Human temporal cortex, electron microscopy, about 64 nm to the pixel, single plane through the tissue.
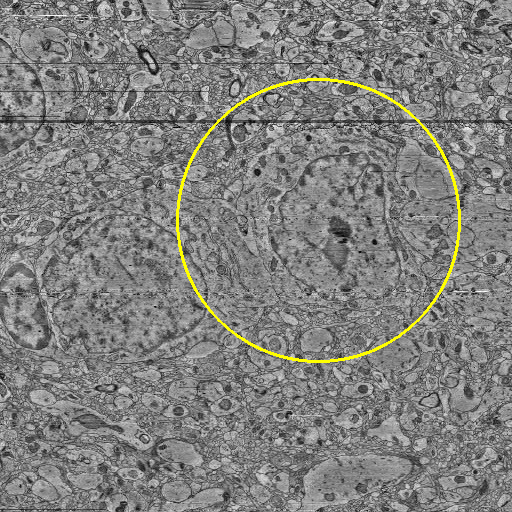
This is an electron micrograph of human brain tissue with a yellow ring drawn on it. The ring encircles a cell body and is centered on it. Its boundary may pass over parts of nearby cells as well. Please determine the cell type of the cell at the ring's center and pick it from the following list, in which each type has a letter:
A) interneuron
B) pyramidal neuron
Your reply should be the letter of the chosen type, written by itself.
A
